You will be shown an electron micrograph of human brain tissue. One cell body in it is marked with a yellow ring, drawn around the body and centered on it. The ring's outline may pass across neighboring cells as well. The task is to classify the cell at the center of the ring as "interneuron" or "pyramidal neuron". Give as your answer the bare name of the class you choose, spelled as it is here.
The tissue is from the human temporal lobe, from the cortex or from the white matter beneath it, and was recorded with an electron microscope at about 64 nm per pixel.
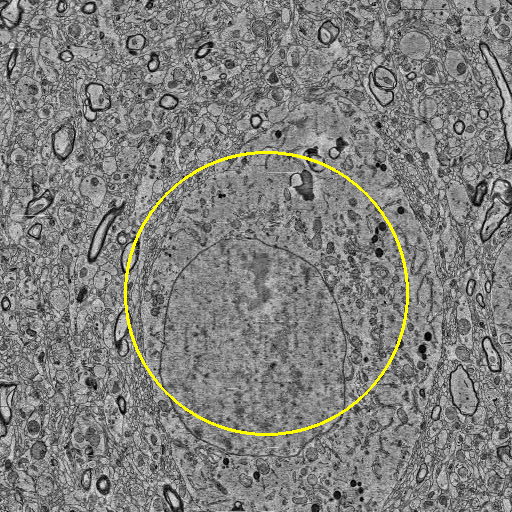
pyramidal neuron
